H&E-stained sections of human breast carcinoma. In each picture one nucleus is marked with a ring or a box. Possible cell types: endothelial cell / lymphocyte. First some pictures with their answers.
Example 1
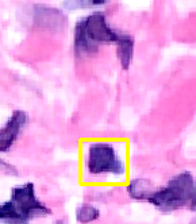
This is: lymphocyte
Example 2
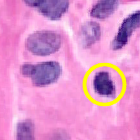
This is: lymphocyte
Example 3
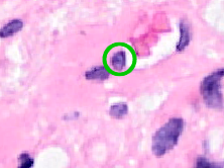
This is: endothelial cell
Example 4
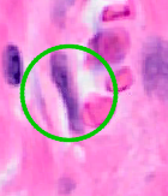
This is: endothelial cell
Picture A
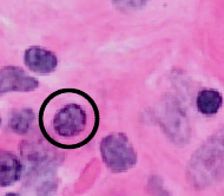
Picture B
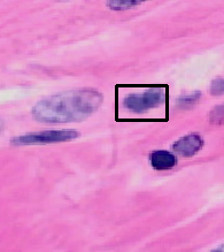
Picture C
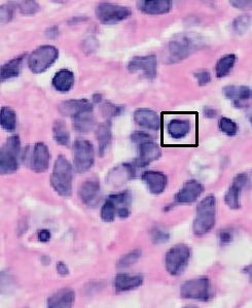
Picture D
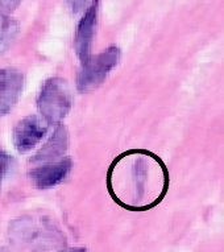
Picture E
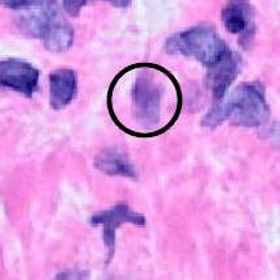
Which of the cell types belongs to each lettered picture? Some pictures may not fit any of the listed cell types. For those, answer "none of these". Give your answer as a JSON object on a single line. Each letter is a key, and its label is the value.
{"A": "lymphocyte", "B": "lymphocyte", "C": "lymphocyte", "D": "none of these", "E": "none of these"}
